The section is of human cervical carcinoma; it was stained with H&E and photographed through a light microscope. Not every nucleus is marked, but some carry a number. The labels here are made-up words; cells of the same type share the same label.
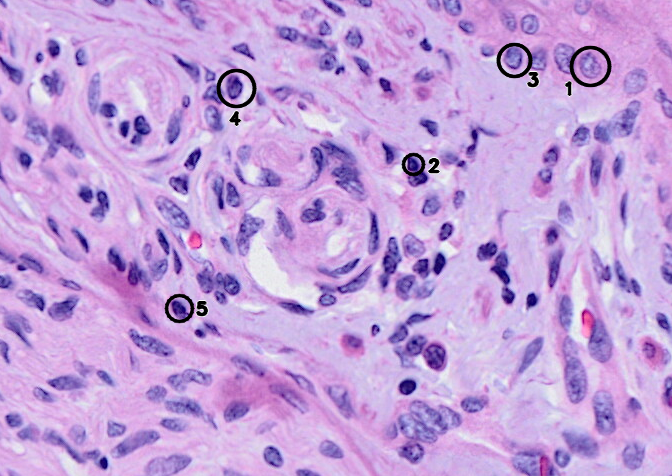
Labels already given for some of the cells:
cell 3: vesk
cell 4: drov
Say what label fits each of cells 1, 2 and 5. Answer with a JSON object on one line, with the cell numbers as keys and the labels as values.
{"1": "vesk", "2": "drov", "5": "drov"}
